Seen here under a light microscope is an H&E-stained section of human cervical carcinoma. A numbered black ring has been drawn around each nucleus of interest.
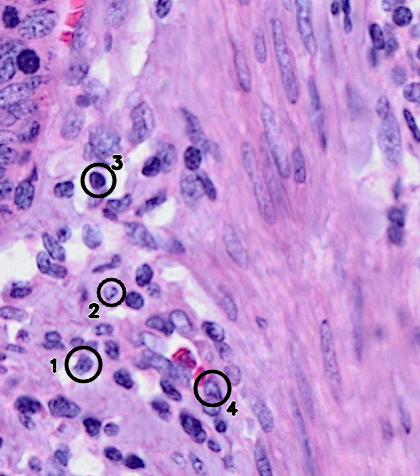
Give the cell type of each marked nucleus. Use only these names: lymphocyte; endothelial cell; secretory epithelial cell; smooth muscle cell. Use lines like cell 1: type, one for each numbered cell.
cell 1: lymphocyte
cell 2: lymphocyte
cell 3: lymphocyte
cell 4: endothelial cell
